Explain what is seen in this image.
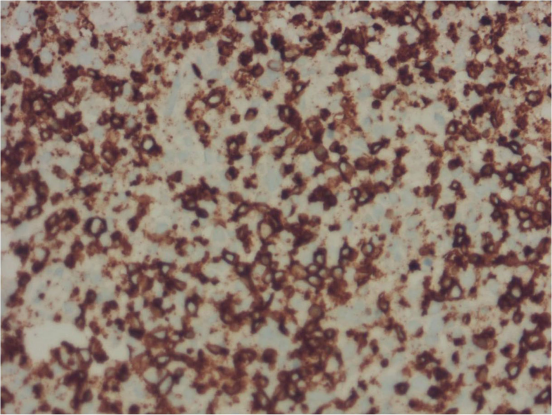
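The stained cells are small to medium-sized and rounded, with the brown colour outlining the cell border and filling the thin rim of cytoplasm. They lie closely packed in sheets and clusters, separated by paler unstained spaces.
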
